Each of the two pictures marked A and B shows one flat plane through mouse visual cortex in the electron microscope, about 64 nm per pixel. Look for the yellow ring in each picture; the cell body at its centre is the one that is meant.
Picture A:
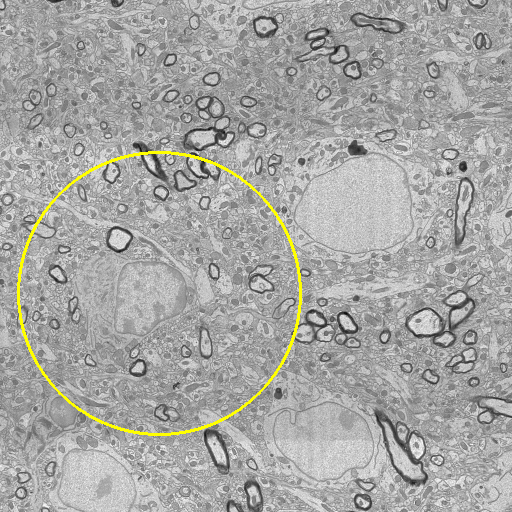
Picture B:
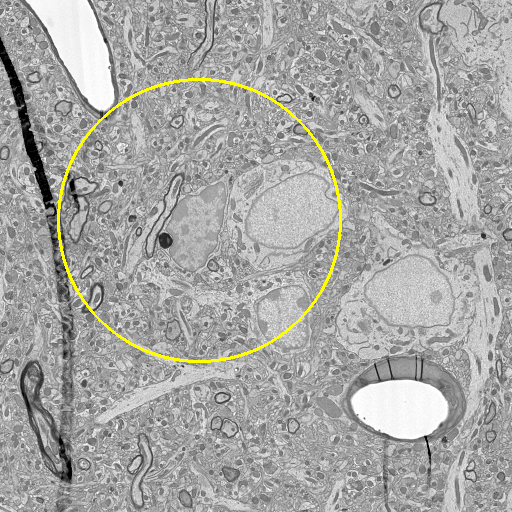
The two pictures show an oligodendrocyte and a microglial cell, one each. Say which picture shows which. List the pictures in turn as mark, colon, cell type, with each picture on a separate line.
A: oligodendrocyte
B: microglial cell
